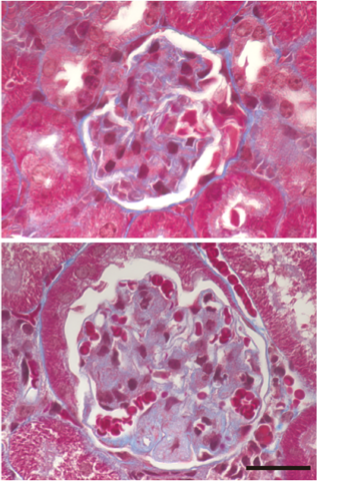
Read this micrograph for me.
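Two light micrographs of kidney cortex each show a glomerulus surrounded by renal tubules. The tubules are cut across and lined by cuboidal epithelial cells with red cytoplasm and dark nuclei around small lumina. Thin blue-stained connective tissue lines the tubules and the capsule around the glomerulus. Each glomerular tuft lies within a pale space inside the capsule and holds many dark nuclei and red-stained material. In the lower image more blue-stained material lies between the cells within the tuft than in the upper image.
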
